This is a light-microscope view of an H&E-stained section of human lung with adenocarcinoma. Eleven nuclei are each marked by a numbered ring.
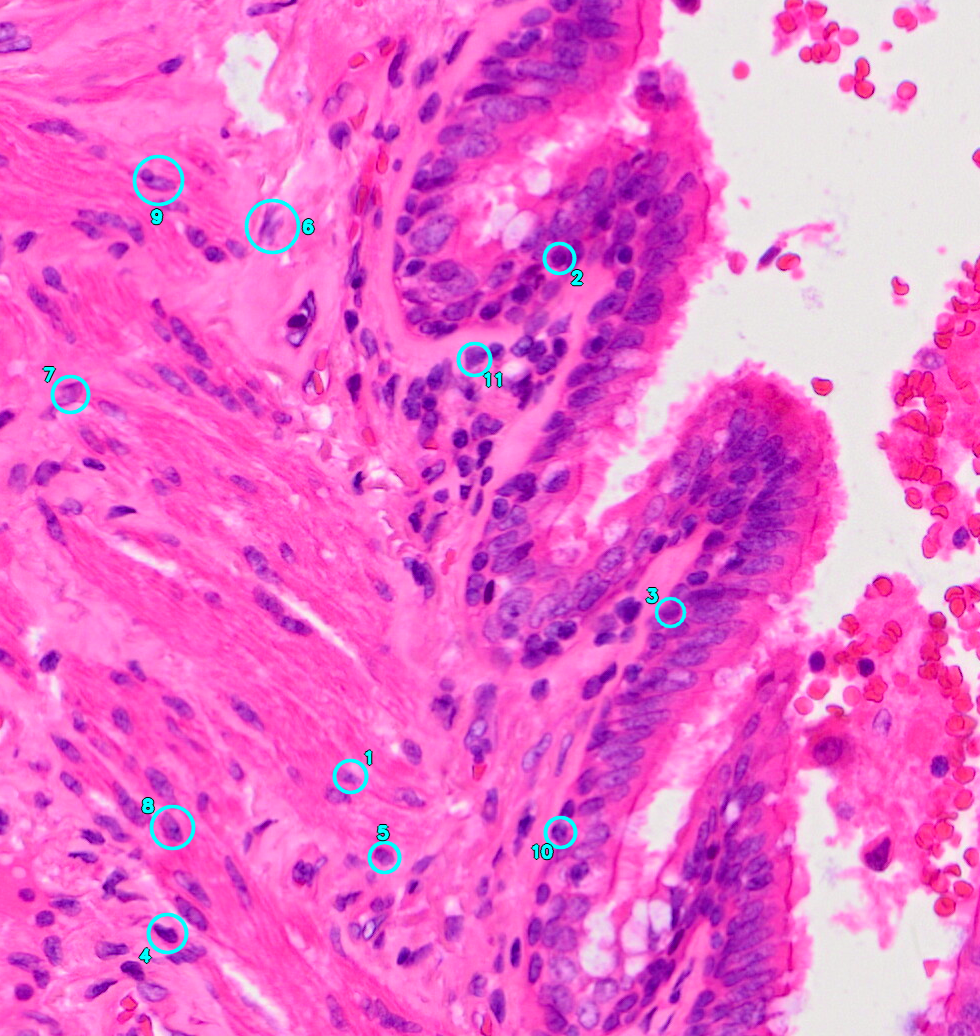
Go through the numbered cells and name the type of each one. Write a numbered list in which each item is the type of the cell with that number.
1. smooth muscle cell or pericyte
2. ciliated epithelial cell
3. ciliated epithelial cell
4. mast cell
5. smooth muscle cell or pericyte
6. fibroblast
7. fibroblast
8. smooth muscle cell or pericyte
9. smooth muscle cell or pericyte
10. lymphocyte
11. lymphocyte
